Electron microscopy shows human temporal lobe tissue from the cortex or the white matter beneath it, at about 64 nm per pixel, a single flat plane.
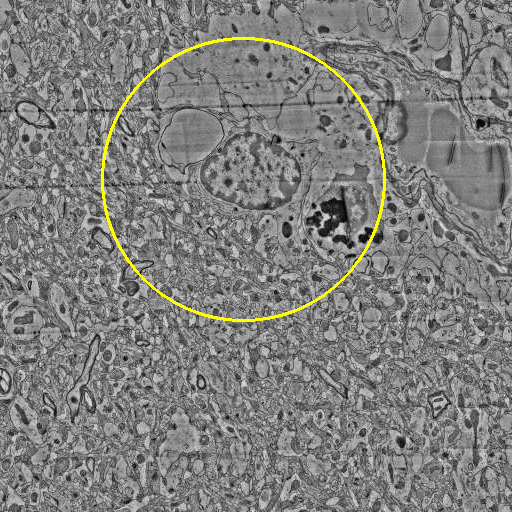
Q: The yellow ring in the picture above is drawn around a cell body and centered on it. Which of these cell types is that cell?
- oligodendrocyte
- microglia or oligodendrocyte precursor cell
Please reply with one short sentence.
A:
The cell body at the ring's center belongs to a microglial cell or oligodendrocyte precursor cell.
